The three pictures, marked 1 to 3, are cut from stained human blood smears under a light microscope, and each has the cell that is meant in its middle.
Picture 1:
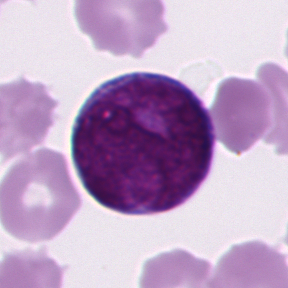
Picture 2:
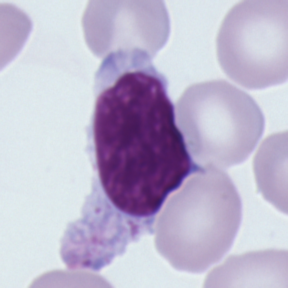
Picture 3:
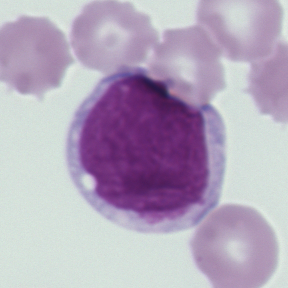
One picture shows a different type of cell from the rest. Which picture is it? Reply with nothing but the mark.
2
